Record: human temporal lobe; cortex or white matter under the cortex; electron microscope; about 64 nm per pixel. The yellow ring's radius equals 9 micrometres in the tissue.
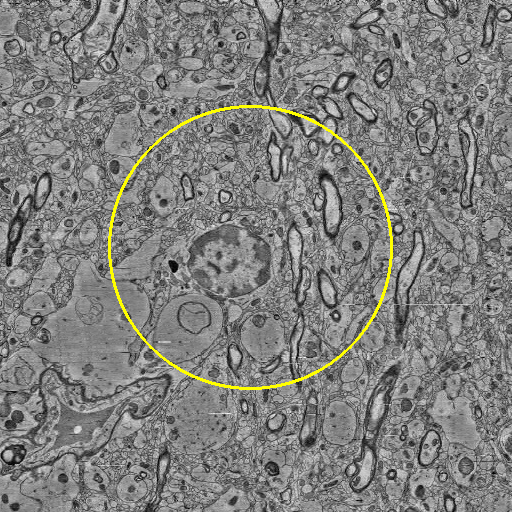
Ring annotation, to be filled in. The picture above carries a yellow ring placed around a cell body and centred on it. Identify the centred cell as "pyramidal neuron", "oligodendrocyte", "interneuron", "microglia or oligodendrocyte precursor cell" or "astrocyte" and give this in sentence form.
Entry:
The cell in the middle of the ring is a microglial cell or oligodendrocyte precursor cell.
